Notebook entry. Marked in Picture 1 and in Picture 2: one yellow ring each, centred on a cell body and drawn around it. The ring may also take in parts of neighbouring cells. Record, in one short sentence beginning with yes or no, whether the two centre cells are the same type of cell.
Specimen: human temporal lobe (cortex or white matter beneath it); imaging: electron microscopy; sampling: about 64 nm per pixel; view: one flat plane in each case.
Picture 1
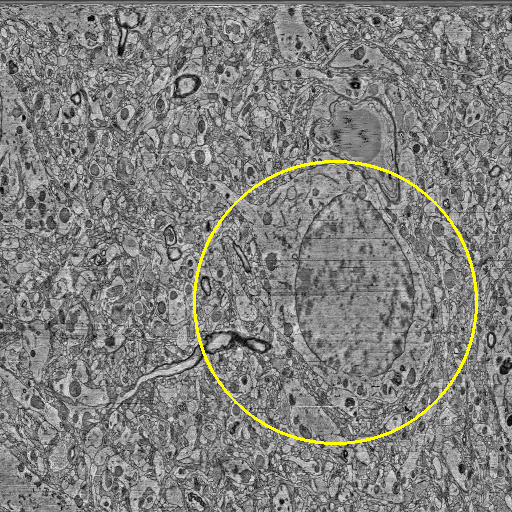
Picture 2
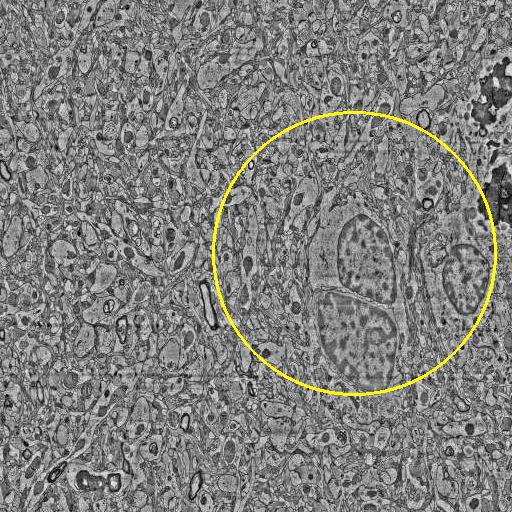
No, they are two types of cell.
